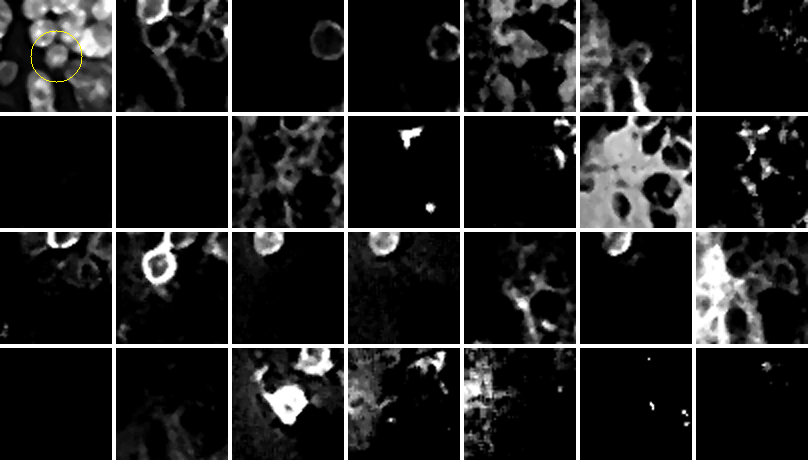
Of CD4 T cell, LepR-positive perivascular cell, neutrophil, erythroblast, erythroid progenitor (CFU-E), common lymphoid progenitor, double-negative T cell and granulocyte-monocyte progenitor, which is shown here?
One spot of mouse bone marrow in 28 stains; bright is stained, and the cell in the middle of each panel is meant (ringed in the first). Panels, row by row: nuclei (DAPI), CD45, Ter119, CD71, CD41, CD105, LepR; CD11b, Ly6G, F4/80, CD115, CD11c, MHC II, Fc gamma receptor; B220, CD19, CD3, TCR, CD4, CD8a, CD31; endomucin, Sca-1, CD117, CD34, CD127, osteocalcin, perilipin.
granulocyte-monocyte progenitor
